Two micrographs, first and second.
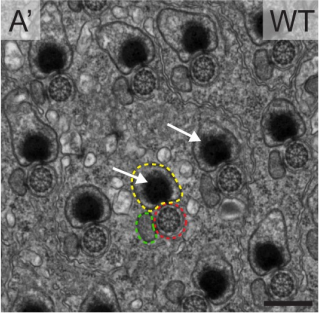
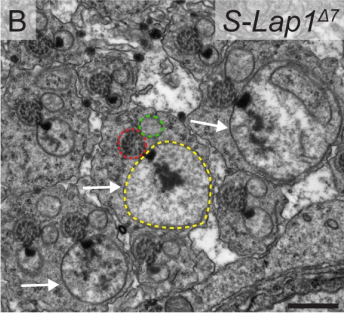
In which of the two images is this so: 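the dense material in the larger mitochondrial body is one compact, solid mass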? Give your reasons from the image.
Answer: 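Second image: the large swollen bodies contain only small, irregular dark flecks. First image: each oval body holds one large rounded black mass.
Answer: the first image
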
